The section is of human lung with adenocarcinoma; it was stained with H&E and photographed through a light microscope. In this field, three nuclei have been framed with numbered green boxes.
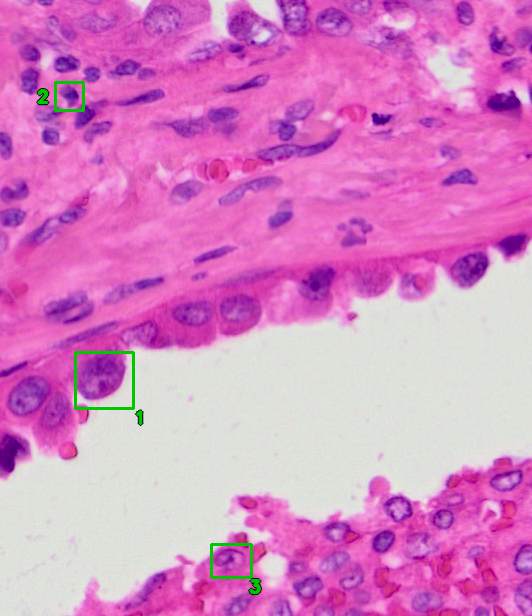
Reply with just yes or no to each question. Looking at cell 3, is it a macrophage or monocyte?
yes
